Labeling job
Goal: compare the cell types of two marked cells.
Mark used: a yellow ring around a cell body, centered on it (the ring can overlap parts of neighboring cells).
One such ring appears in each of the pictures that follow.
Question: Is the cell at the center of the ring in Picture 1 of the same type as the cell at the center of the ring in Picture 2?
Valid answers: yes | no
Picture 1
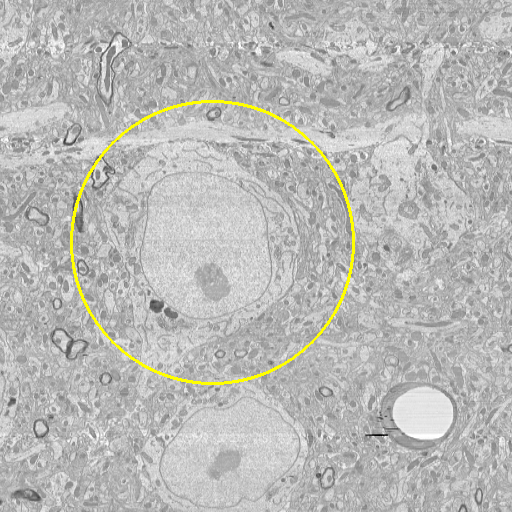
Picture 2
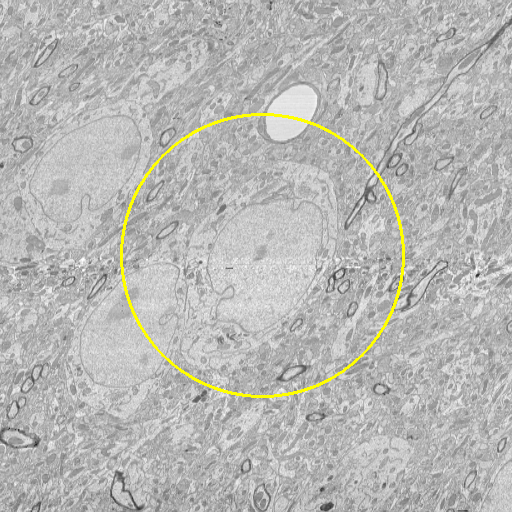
no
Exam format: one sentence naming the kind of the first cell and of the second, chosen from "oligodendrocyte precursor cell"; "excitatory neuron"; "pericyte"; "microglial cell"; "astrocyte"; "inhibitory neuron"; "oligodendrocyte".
The first picture's cell is an excitatory neuron, and the second picture's cell is an inhibitory neuron.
